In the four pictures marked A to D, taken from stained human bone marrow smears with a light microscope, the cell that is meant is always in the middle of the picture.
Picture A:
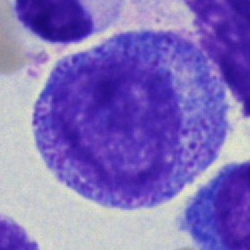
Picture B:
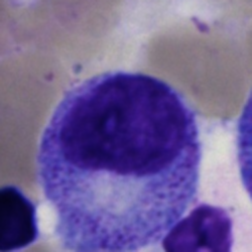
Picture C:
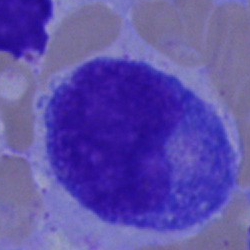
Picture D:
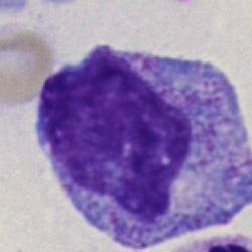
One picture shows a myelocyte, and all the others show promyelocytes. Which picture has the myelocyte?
B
